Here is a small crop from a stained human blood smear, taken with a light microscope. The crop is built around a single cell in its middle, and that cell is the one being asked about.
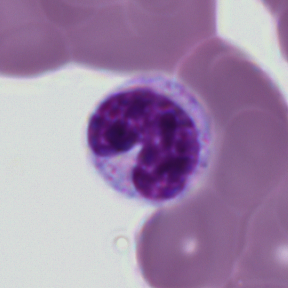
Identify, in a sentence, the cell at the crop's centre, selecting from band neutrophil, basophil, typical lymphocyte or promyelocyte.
The cell found in the middle of this crop is a band neutrophil.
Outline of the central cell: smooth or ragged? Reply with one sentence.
Its outline is smooth, with no projections anywhere along the edge.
